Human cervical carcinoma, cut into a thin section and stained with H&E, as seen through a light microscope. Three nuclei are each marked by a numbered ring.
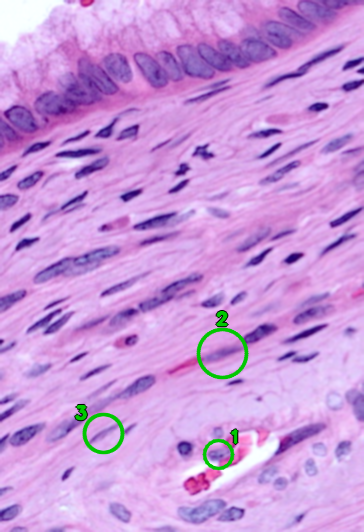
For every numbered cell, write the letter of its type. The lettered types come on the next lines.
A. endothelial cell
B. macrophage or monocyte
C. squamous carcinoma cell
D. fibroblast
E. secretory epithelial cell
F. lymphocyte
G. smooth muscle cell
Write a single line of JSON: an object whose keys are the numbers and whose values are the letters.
{"1": "A", "2": "A", "3": "D"}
